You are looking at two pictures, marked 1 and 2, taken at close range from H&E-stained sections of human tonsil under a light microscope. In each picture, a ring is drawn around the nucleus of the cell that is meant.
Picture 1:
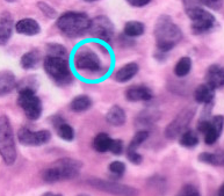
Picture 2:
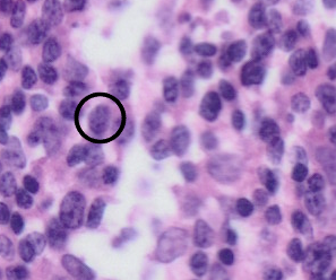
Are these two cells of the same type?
yes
